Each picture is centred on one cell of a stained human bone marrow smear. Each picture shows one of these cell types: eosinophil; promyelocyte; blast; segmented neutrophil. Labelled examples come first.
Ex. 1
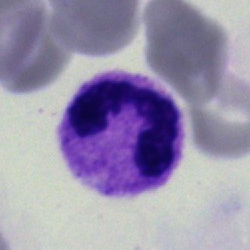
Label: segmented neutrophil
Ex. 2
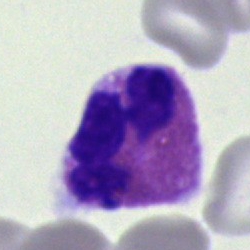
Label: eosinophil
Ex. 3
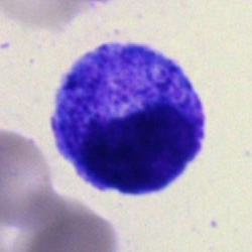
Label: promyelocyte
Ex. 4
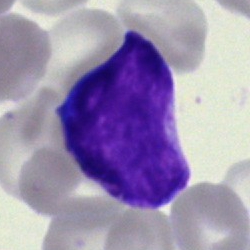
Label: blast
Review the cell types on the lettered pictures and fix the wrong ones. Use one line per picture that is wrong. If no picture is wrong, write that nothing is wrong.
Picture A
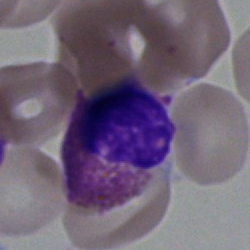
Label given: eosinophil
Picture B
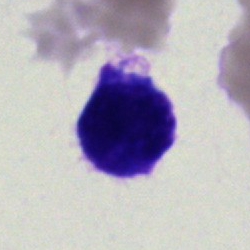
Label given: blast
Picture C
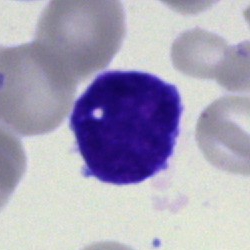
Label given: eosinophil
C: not eosinophil but blast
